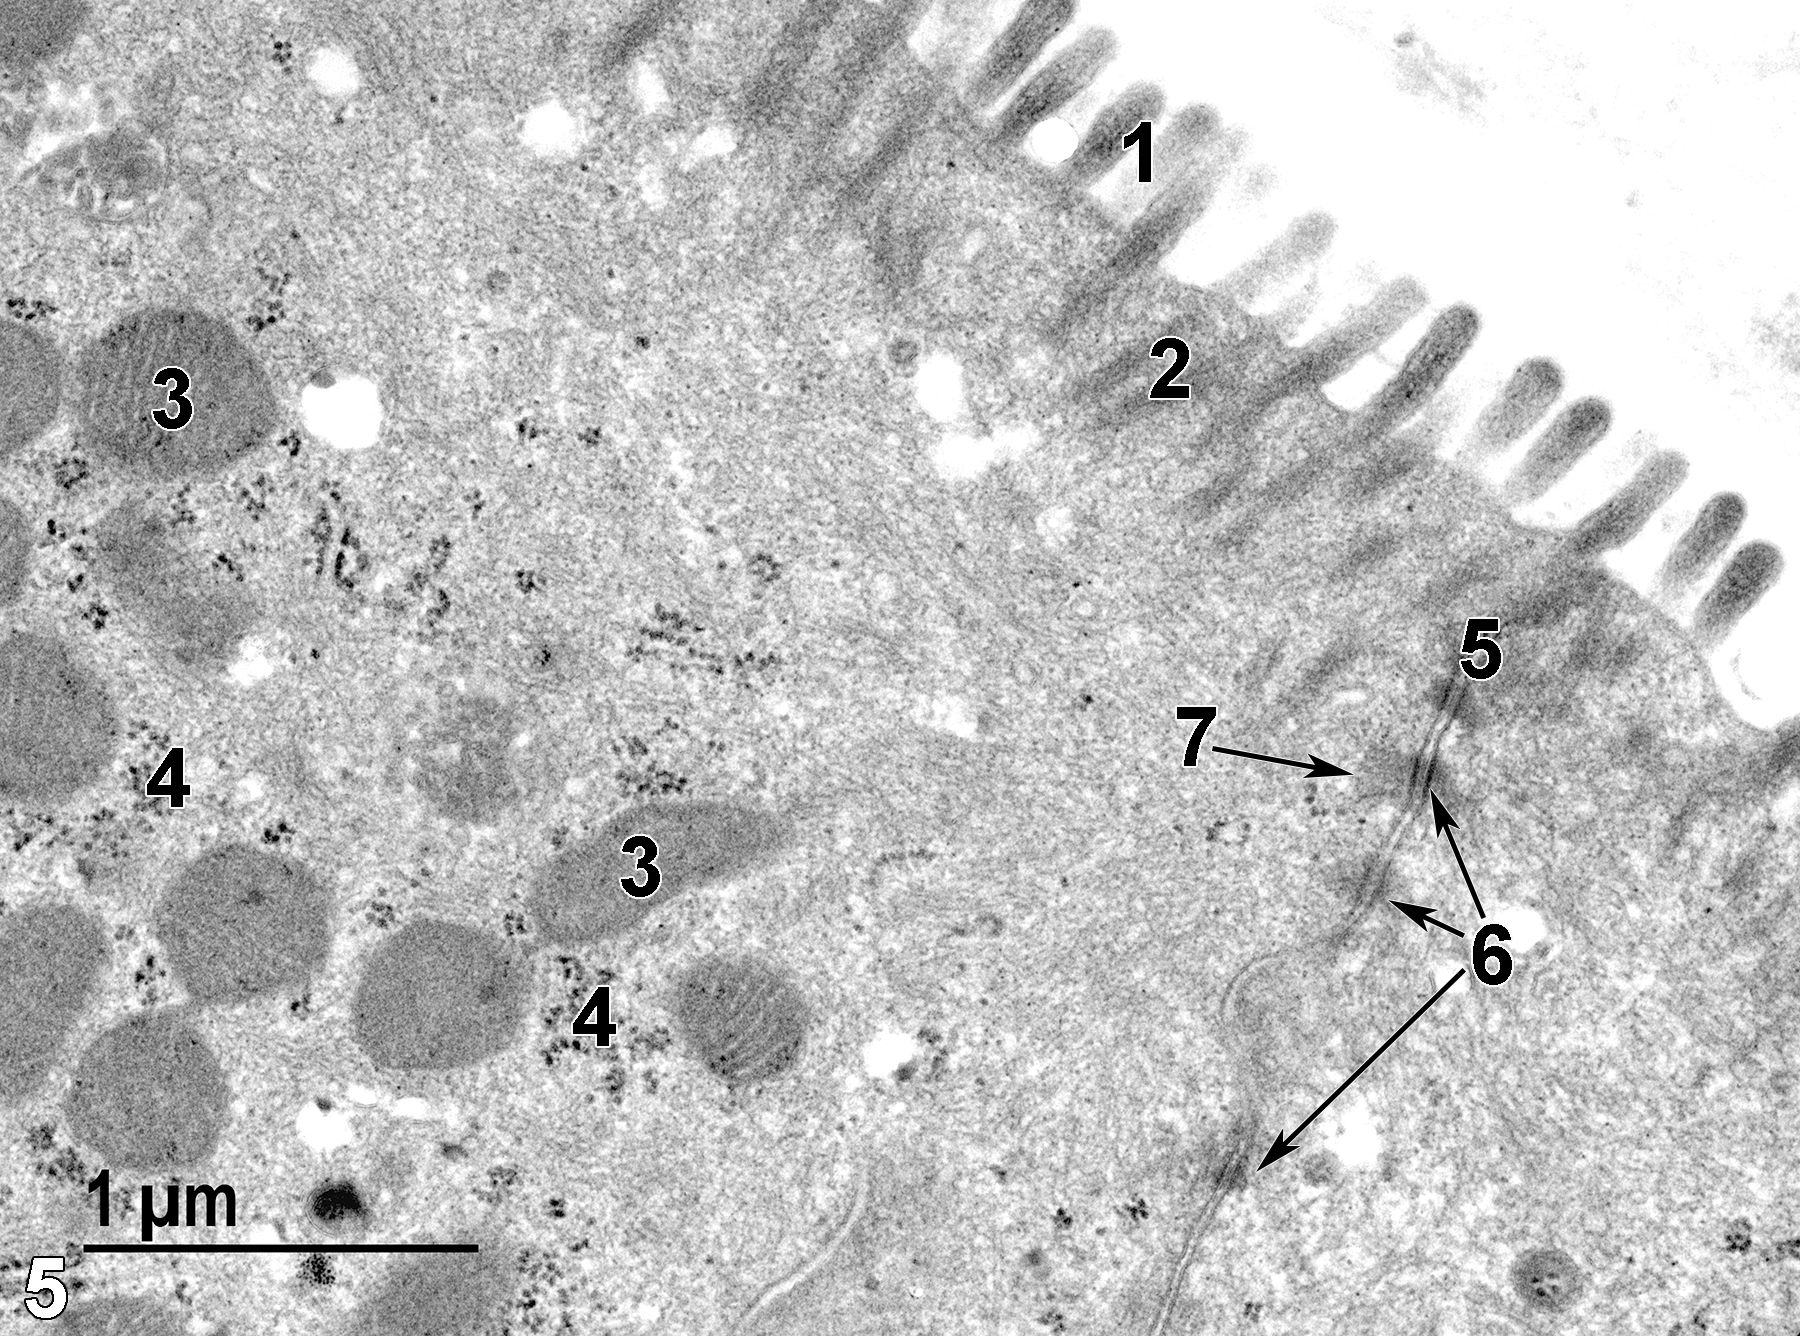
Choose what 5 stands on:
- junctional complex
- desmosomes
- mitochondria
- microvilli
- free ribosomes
junctional complex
